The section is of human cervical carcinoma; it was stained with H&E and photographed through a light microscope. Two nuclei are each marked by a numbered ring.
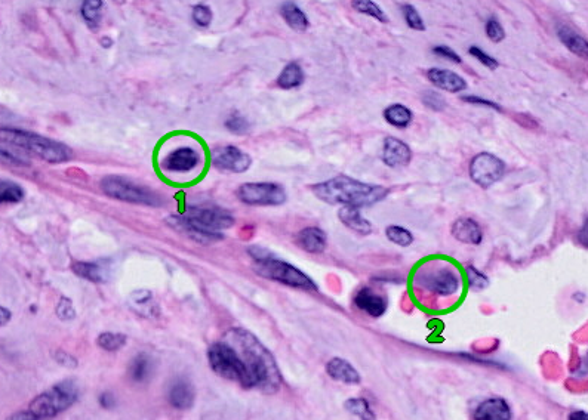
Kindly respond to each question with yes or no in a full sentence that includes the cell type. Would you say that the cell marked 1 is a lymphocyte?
Yes, cell 1 is a lymphocyte in this tissue section.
